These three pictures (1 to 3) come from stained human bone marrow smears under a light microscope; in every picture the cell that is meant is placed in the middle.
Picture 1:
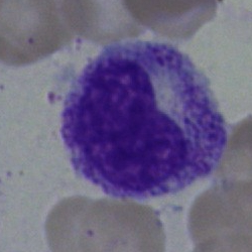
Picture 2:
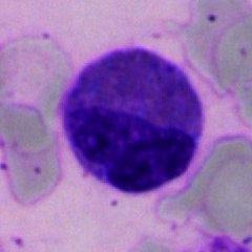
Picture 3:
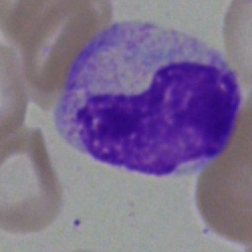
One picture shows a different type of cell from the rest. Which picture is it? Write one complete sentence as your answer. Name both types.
The others show metamyelocytes, but picture 2 shows an eosinophil.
